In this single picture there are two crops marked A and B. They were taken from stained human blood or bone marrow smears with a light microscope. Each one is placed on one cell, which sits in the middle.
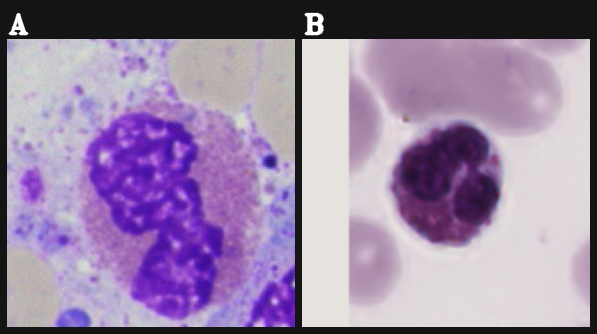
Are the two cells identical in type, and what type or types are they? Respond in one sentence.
Yes, the pair of crops both show eosinophils.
